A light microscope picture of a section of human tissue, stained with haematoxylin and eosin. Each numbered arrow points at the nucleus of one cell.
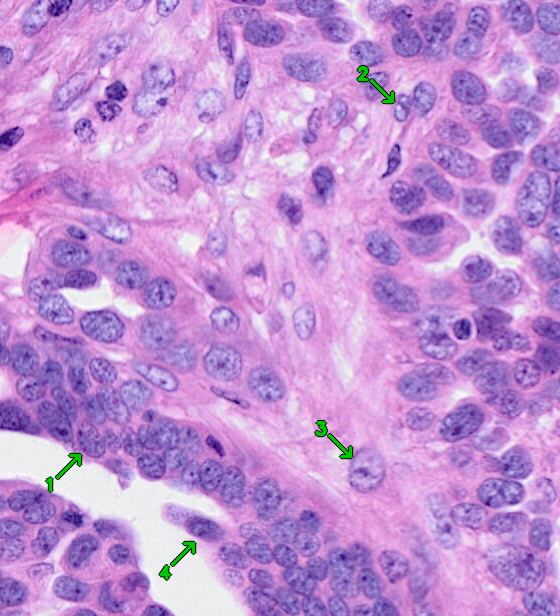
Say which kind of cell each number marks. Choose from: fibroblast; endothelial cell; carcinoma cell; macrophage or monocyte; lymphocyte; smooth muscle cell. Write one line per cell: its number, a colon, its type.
1: carcinoma cell
2: fibroblast
3: fibroblast
4: carcinoma cell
